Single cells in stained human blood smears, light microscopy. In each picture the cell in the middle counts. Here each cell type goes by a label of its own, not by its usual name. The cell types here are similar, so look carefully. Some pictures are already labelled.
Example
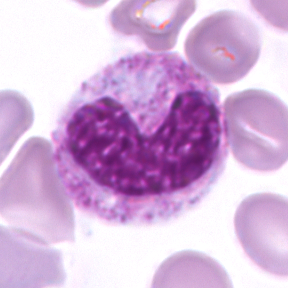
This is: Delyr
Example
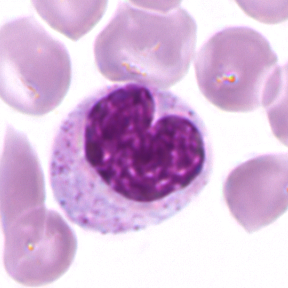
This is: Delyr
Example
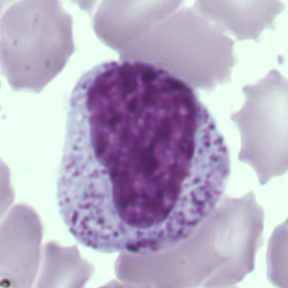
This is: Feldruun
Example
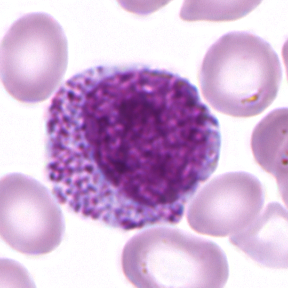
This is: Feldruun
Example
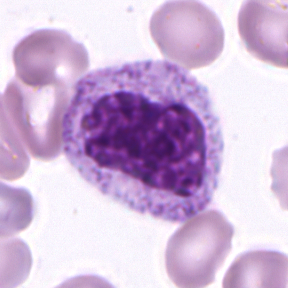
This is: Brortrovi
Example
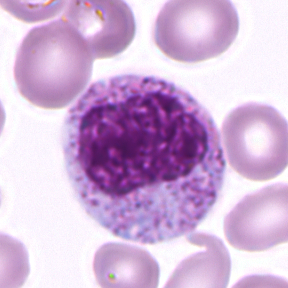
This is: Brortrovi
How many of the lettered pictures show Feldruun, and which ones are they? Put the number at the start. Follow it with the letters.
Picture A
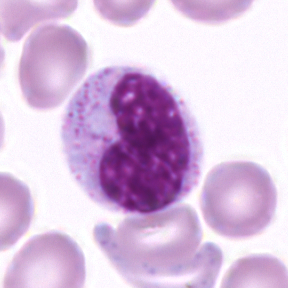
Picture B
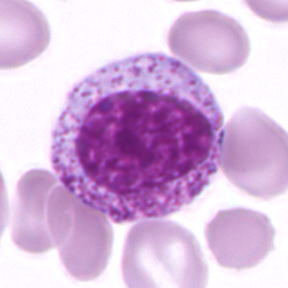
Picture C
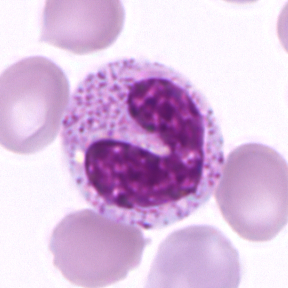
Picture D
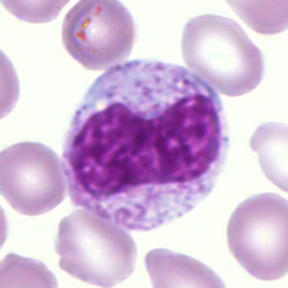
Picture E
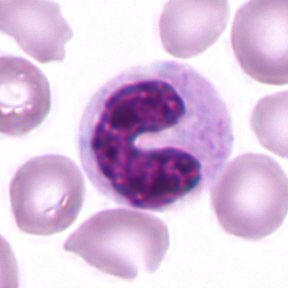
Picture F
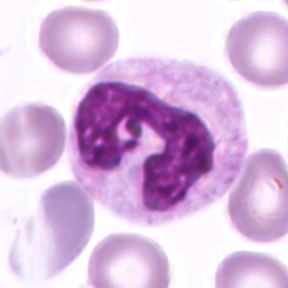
0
